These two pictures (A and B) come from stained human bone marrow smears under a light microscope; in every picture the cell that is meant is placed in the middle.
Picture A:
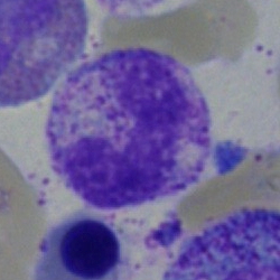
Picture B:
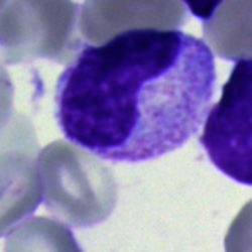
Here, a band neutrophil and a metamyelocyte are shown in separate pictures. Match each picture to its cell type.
A: band neutrophil
B: metamyelocyte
